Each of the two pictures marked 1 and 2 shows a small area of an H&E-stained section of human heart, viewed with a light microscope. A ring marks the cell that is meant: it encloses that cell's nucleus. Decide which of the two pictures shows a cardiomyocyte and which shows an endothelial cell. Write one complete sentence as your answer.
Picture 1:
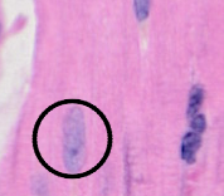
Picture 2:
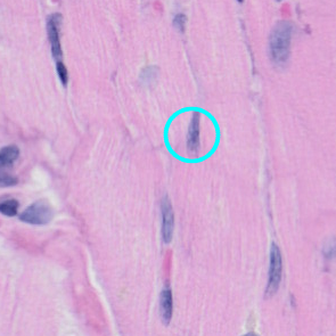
Picture 2 shows an endothelial cell, while picture 1 shows a cardiomyocyte.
